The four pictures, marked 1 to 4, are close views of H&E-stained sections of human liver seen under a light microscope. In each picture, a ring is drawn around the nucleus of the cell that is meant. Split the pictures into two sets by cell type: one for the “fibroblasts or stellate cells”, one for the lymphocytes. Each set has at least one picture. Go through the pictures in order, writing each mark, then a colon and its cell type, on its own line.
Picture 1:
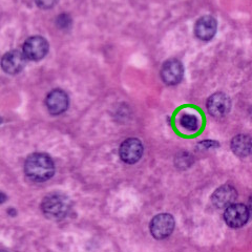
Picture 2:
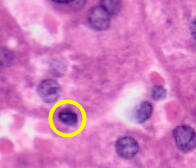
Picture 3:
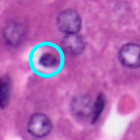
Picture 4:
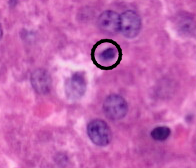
1: lymphocyte
2: fibroblast or stellate cell
3: lymphocyte
4: lymphocyte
